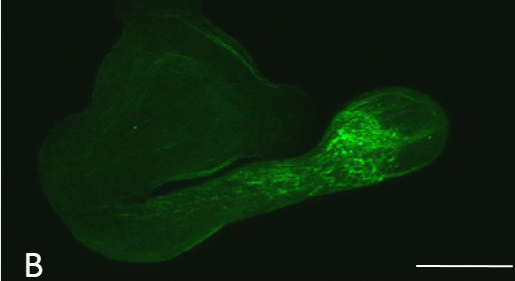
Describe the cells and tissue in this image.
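A pollen tube emerges from a large, faintly green pollen grain and ends in a swollen, bulbous tip. The region just behind the tip has a bright, patchy meshwork of short green fragments instead of long parallel strands. The tube as a whole is short and irregular in outline.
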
